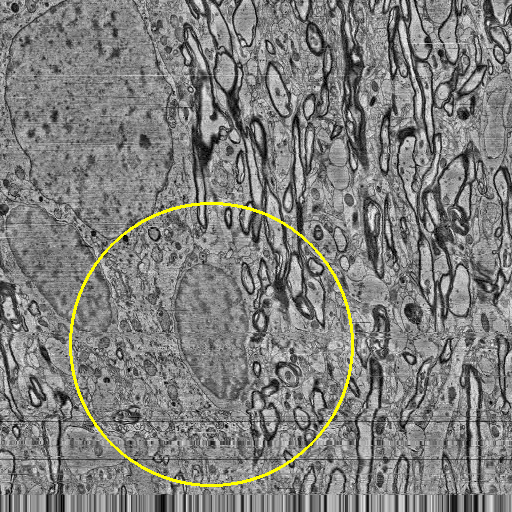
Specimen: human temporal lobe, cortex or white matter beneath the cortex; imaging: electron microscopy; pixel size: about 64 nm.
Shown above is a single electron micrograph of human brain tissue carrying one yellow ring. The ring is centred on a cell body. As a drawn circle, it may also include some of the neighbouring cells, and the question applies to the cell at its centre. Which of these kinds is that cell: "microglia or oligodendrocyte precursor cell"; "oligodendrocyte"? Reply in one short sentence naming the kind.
The cell marked by the ring is an oligodendrocyte.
